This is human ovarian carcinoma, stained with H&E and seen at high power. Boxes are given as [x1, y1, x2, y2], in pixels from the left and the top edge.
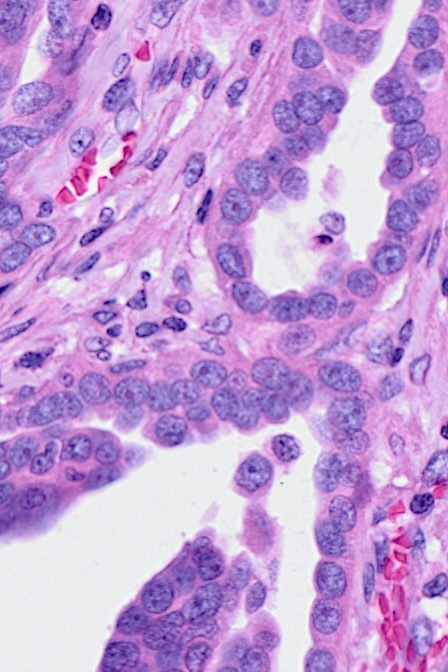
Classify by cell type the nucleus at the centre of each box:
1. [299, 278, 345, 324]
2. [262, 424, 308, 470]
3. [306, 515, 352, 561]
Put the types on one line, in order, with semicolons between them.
carcinoma cell; macrophage or monocyte; carcinoma cell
